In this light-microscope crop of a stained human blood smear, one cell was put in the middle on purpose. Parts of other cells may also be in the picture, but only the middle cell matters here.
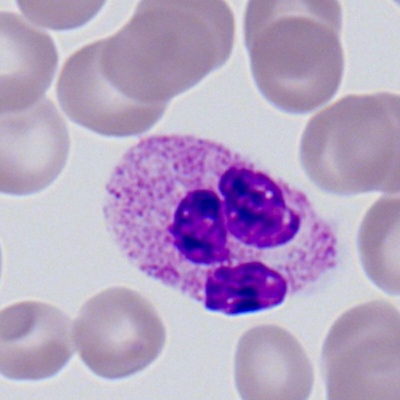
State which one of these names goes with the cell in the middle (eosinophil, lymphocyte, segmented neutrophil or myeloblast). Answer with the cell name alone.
segmented neutrophil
